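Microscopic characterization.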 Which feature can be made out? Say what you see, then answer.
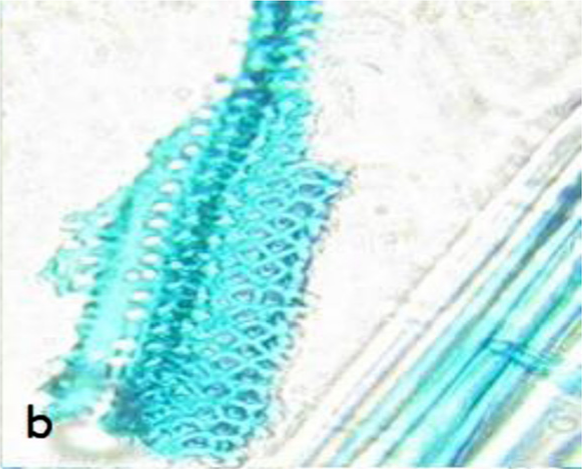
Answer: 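A blue-green stained tube-like element has walls patterned as a net of small rounded meshes. The meshes are arranged in regular rows along the element. Long parallel fibres lie beside it in the lower right. That points to this answer: vessels with reticulate thickening.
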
